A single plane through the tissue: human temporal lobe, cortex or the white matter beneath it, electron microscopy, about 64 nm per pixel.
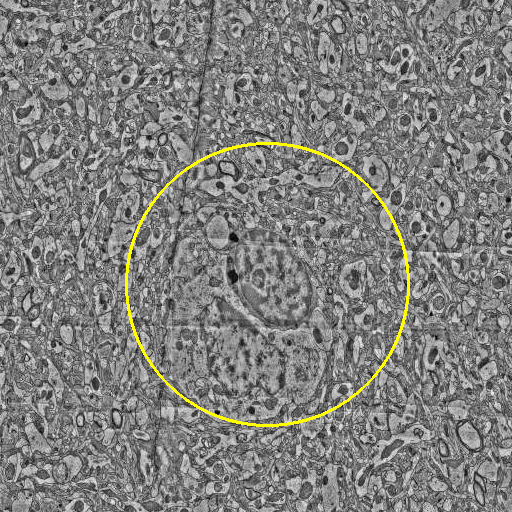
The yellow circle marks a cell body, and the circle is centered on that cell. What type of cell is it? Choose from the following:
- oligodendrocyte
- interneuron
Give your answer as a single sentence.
This cell body belongs to an oligodendrocyte.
